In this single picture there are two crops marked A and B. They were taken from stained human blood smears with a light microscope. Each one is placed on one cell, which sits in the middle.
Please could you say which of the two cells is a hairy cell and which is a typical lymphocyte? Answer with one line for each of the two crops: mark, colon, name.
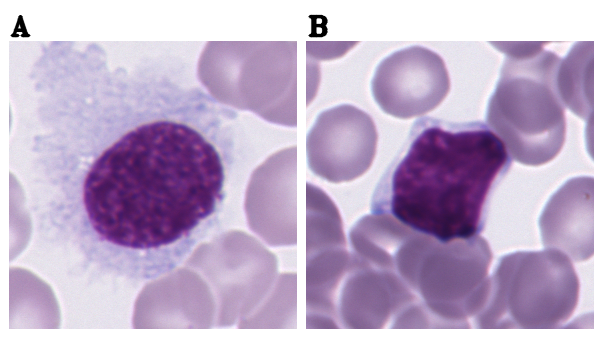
A: hairy cell
B: typical lymphocyte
